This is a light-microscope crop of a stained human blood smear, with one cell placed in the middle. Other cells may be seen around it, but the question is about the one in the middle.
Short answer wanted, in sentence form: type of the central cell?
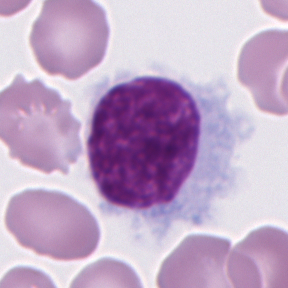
The cell that lies at the centre of the crop is a hairy cell.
